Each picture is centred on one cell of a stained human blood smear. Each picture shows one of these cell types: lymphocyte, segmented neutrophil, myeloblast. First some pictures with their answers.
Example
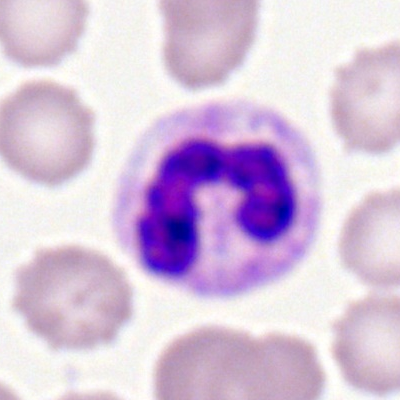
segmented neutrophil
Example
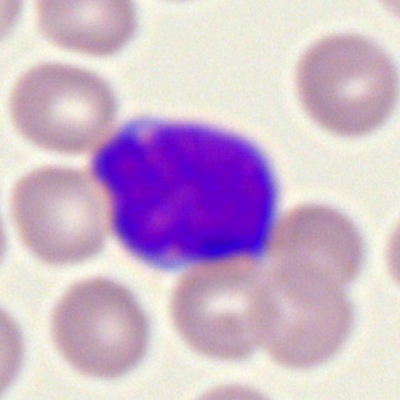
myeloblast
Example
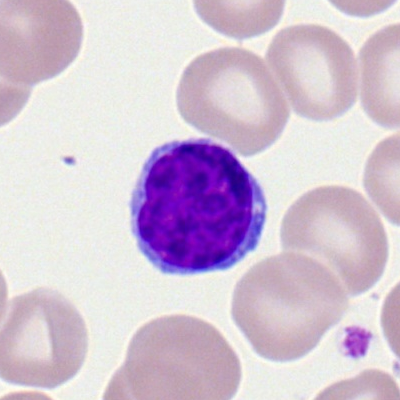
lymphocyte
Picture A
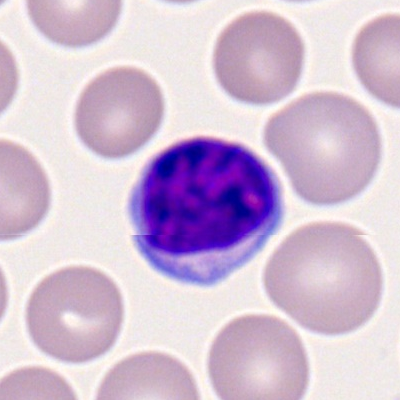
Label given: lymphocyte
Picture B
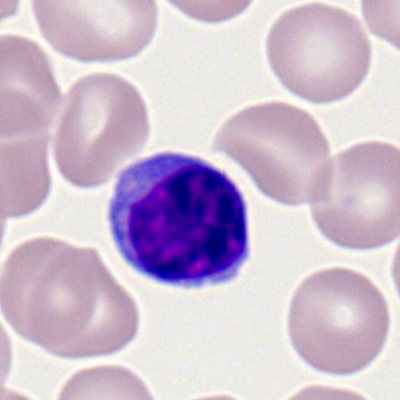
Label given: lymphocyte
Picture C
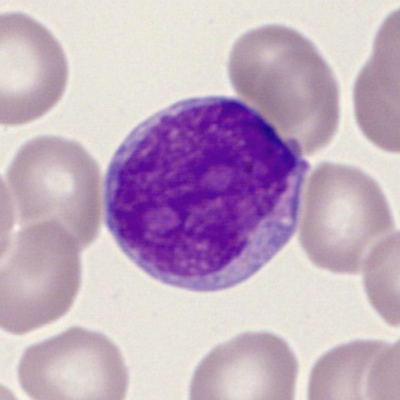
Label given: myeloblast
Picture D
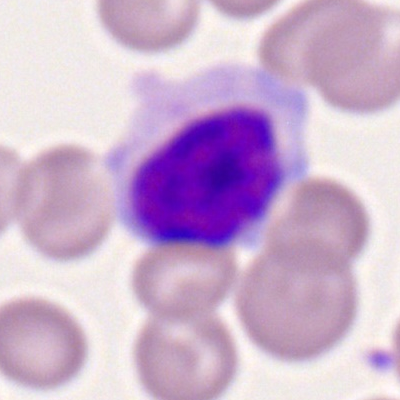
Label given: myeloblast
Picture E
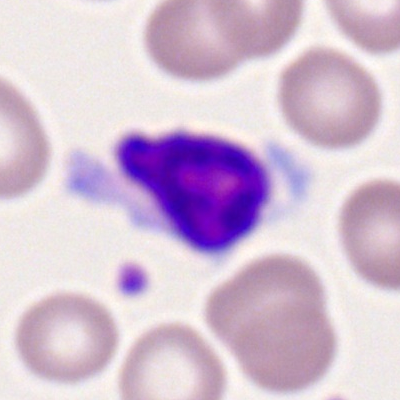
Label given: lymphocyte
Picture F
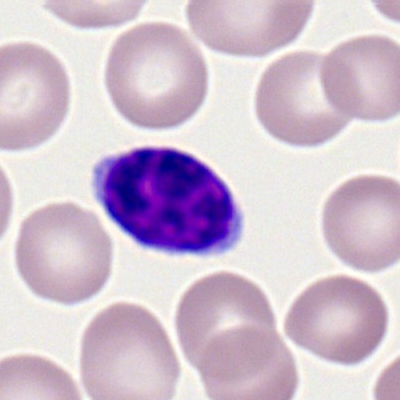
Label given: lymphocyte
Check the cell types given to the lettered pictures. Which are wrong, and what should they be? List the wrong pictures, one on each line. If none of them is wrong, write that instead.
D is labelled myeloblast; correct label: lymphocyte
